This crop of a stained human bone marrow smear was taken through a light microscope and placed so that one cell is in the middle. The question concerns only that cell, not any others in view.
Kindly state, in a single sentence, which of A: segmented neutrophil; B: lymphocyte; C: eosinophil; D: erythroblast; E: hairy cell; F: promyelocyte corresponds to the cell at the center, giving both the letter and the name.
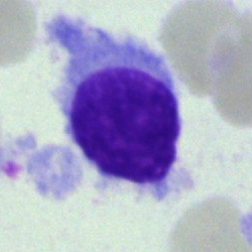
The expected answer is option E, the central cell being a hairy cell.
